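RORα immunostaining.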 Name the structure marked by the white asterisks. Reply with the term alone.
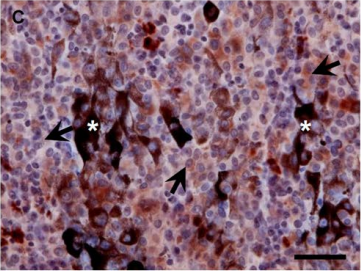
Melanin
